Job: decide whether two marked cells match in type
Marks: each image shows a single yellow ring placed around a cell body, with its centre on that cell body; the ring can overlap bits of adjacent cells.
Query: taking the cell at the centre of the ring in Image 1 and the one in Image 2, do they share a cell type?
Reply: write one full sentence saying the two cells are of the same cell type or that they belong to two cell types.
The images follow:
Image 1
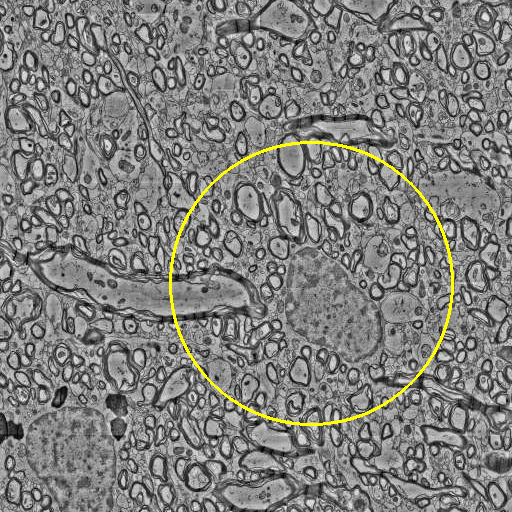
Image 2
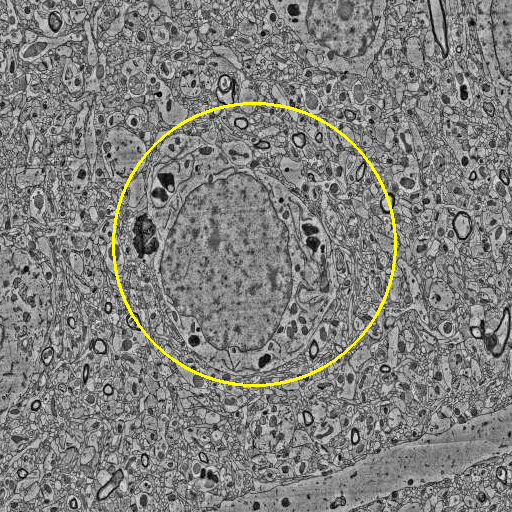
The cells at the ring centres in Image 1 and Image 2 belong to two cell types.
